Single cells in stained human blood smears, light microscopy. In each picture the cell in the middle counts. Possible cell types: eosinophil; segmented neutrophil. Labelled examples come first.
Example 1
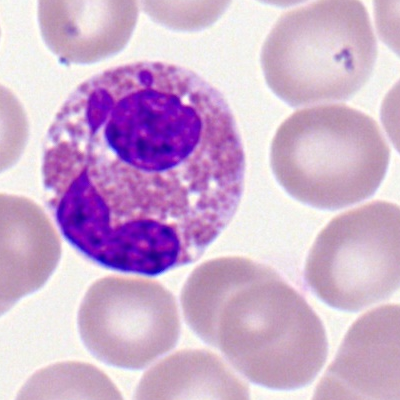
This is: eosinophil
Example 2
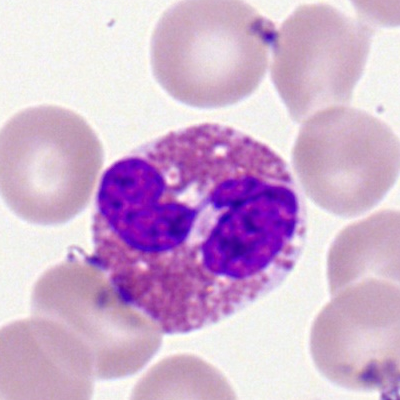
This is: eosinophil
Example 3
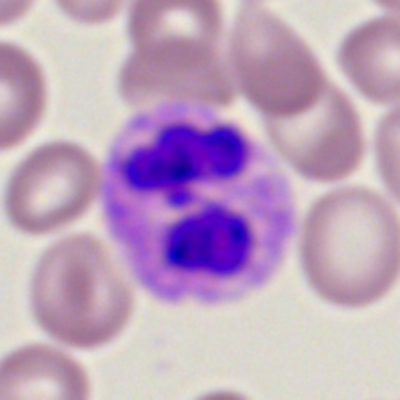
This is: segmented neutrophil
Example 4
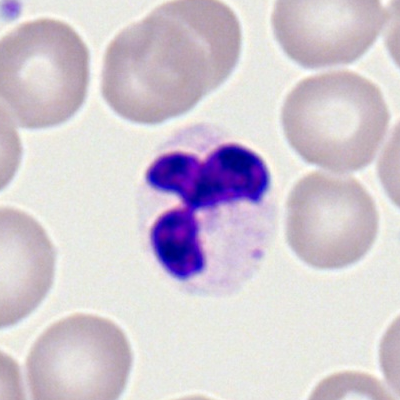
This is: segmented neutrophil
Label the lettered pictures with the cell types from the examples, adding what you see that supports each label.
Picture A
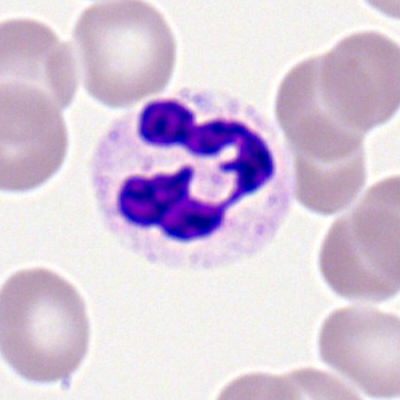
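segmented neutrophil: The cytoplasm holds fine, faint lilac granules.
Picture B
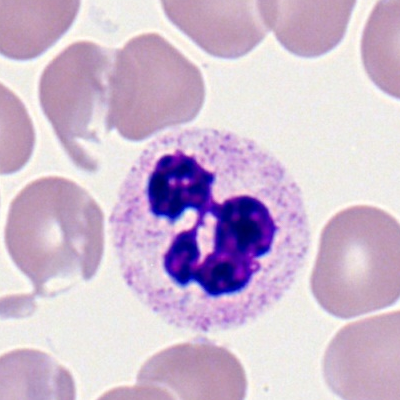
segmented neutrophil: Fine pinkish-violet granules are scattered evenly through the cytoplasm.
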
